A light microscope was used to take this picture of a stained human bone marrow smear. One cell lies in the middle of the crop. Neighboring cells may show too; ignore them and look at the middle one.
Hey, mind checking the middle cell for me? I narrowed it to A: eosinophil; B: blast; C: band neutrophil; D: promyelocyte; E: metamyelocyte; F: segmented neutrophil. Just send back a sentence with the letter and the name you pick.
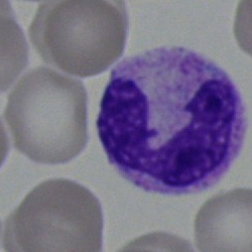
That cell in the center is a band neutrophil, hence option C.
